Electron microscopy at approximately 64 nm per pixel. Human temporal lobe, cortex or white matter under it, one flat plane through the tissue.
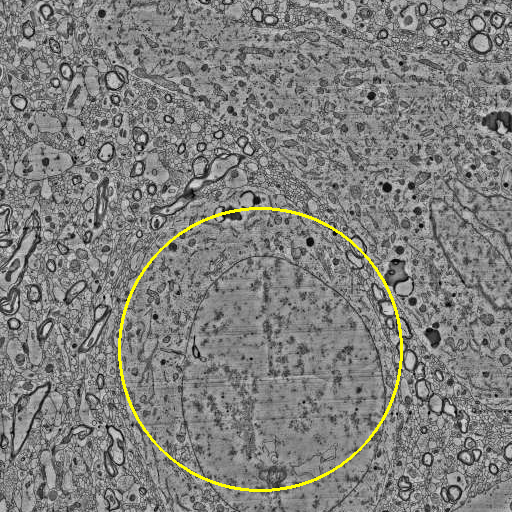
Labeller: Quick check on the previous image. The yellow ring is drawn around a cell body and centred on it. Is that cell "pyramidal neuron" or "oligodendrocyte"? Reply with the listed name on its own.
pyramidal neuron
